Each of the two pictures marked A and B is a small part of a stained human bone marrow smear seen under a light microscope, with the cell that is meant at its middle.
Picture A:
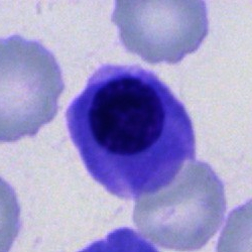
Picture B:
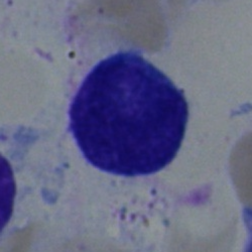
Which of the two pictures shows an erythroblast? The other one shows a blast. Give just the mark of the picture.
A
